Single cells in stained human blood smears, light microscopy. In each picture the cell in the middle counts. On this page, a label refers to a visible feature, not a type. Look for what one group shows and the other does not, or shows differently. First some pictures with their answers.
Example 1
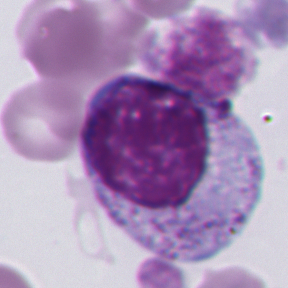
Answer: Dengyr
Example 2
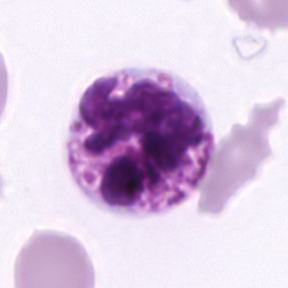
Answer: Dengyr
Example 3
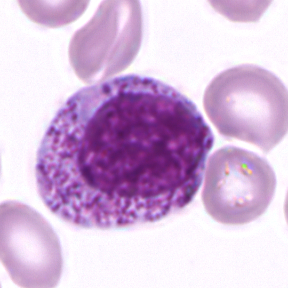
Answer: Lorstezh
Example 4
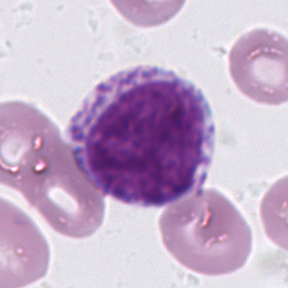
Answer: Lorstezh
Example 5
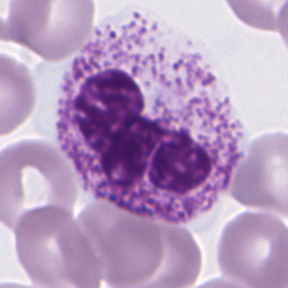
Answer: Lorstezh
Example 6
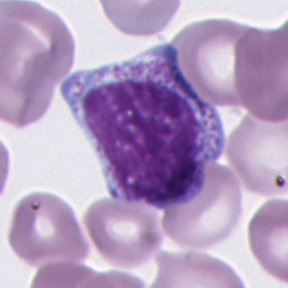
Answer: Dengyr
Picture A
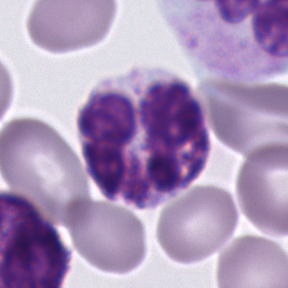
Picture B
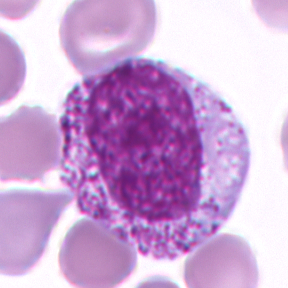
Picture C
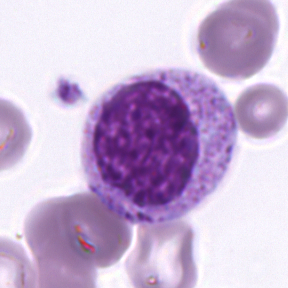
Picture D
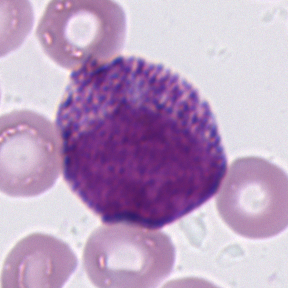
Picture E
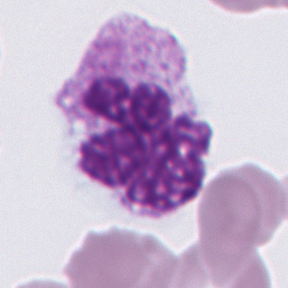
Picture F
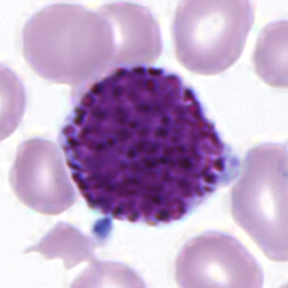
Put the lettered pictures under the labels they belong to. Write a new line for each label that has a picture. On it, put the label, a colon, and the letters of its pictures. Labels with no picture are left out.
Dengyr: A, C, E
Lorstezh: B, D, F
